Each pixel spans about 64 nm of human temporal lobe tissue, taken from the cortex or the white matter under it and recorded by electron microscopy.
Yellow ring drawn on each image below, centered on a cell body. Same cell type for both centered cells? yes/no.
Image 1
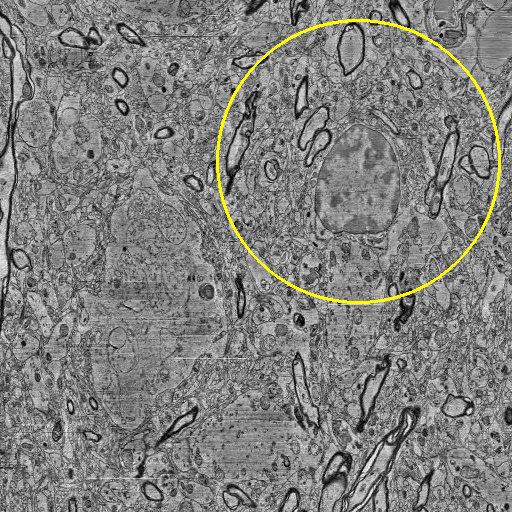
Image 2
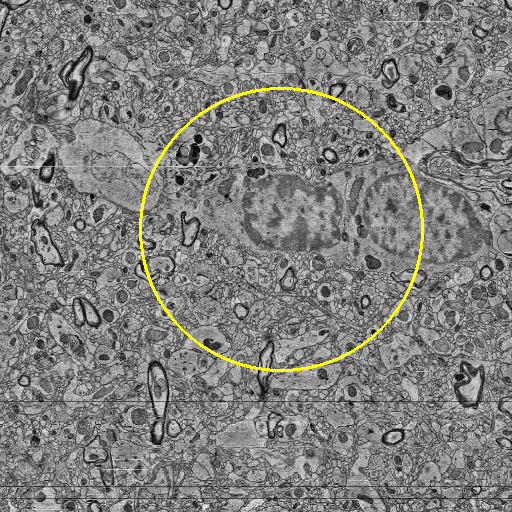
no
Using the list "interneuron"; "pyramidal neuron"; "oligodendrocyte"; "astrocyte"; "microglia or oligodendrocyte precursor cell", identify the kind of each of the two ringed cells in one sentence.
The first is a microglial cell or oligodendrocyte precursor cell and the second is an oligodendrocyte.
